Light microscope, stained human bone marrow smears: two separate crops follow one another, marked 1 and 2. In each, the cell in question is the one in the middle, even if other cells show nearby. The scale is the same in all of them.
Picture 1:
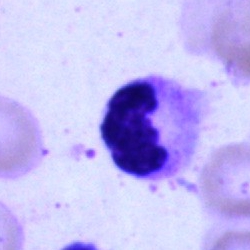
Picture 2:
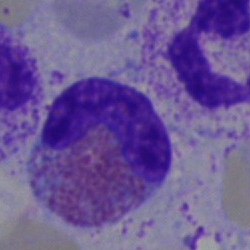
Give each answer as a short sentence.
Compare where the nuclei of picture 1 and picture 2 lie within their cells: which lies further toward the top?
In picture 2 the nucleus is shifted more toward the top.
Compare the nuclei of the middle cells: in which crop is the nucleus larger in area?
Picture 2 shows the larger nucleus; it covers about 2 times the area of the nucleus in picture 1.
